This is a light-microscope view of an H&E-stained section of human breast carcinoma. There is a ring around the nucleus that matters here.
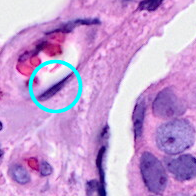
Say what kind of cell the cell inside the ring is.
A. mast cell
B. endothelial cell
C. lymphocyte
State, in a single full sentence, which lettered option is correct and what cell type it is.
In agreement with option B, the cell inside the ring is an endothelial cell.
